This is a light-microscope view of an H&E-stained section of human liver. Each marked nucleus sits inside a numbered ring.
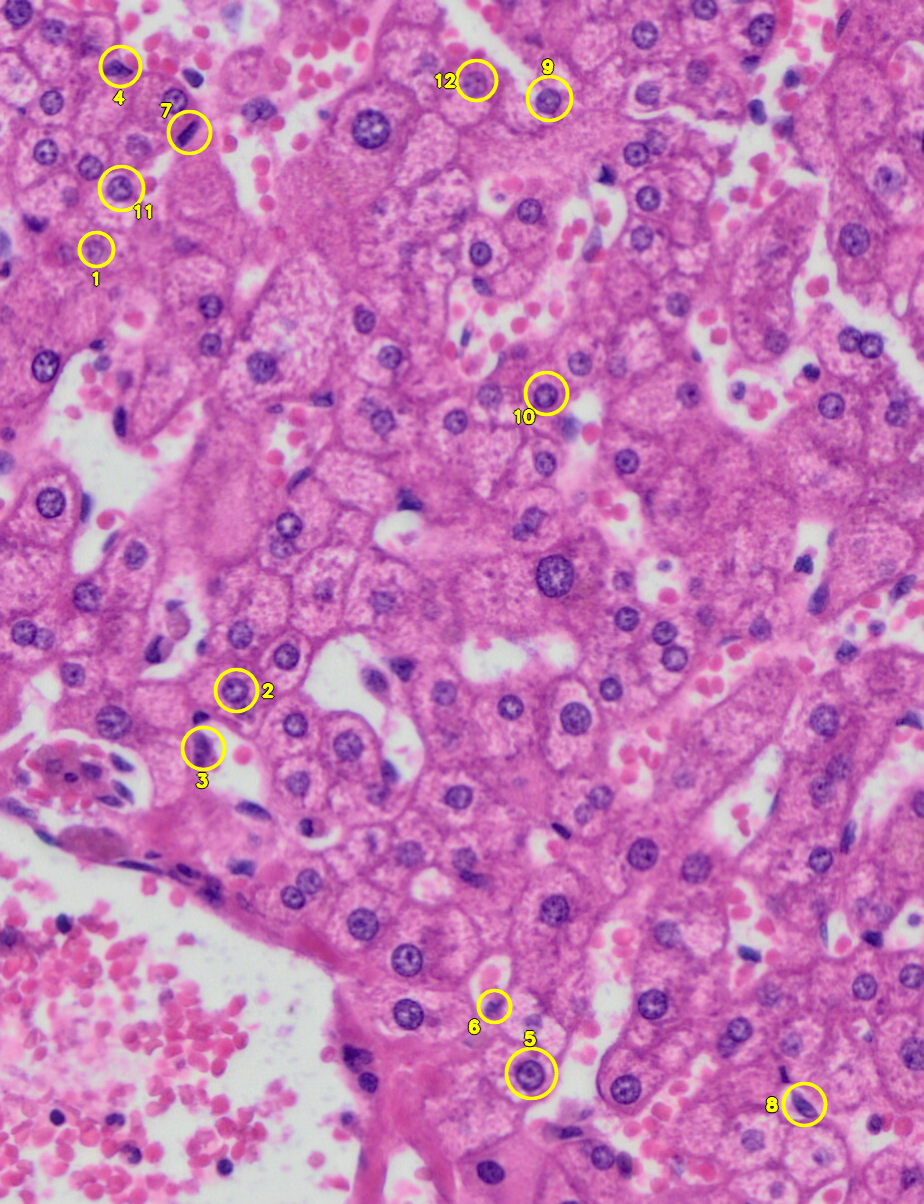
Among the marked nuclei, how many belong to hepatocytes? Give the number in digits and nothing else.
7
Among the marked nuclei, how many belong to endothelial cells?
1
